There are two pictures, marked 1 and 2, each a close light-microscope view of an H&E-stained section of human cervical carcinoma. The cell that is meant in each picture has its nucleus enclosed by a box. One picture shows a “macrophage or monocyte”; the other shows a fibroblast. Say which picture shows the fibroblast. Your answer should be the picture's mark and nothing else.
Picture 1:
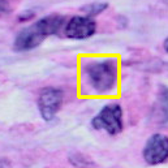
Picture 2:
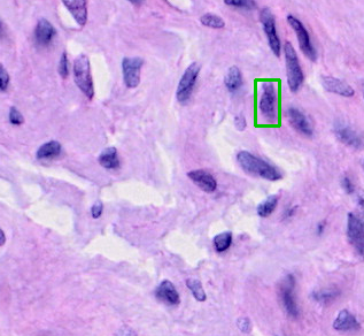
2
